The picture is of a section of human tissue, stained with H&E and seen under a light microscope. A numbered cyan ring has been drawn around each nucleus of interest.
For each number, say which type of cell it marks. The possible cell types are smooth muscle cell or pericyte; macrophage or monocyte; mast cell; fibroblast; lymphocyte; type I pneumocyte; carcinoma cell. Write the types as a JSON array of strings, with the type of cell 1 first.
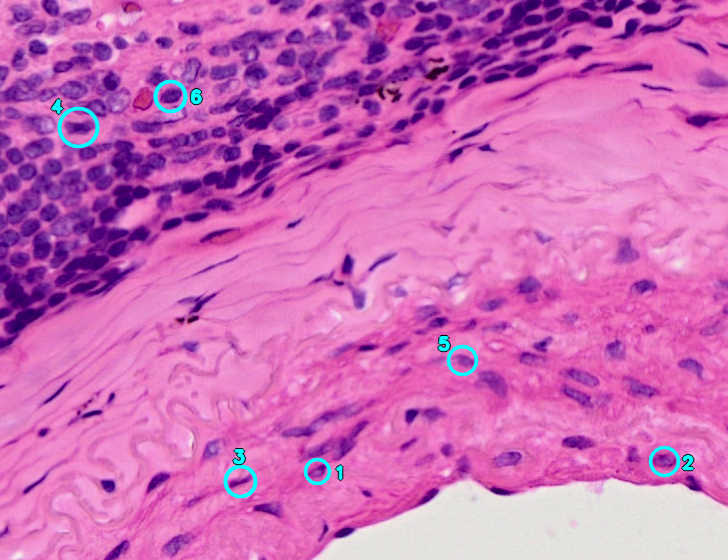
["smooth muscle cell or pericyte", "smooth muscle cell or pericyte", "smooth muscle cell or pericyte", "lymphocyte", "smooth muscle cell or pericyte", "lymphocyte"]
